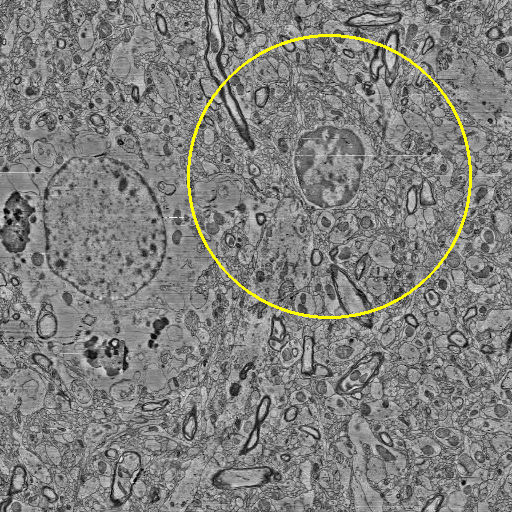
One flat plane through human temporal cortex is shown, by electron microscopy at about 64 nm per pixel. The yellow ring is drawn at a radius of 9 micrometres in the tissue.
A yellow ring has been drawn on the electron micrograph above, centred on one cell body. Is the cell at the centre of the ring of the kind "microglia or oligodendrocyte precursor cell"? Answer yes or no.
yes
